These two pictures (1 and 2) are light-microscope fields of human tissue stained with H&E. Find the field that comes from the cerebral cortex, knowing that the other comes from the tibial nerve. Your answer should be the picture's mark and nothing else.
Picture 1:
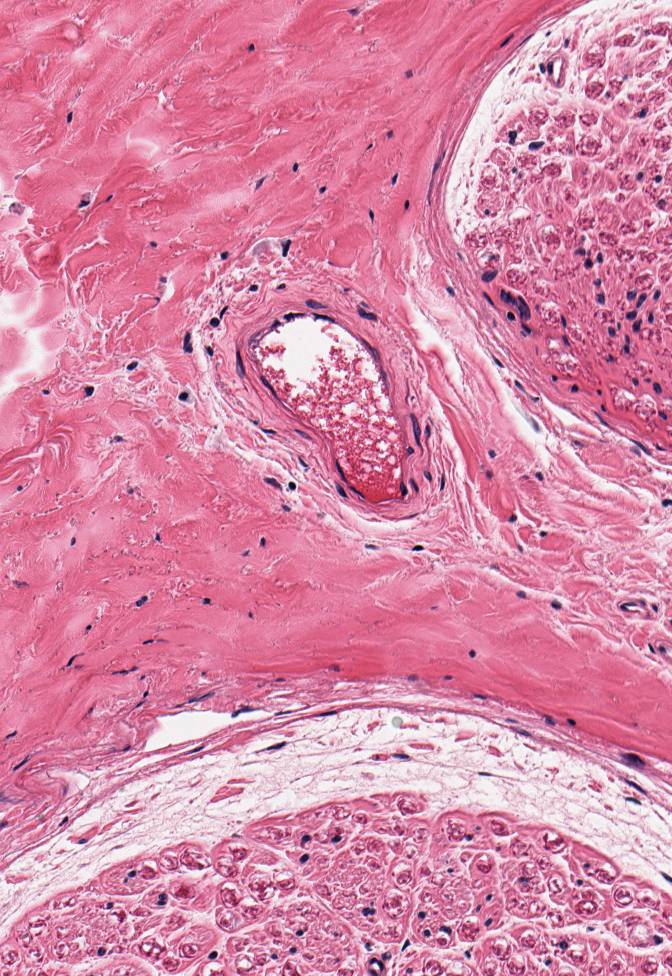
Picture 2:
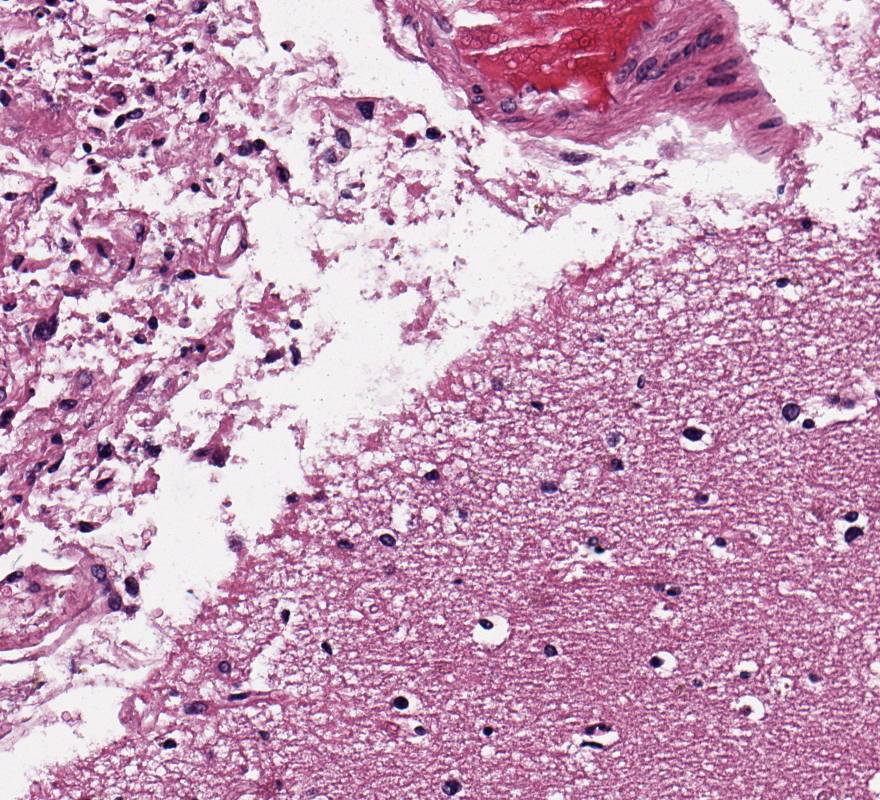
2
